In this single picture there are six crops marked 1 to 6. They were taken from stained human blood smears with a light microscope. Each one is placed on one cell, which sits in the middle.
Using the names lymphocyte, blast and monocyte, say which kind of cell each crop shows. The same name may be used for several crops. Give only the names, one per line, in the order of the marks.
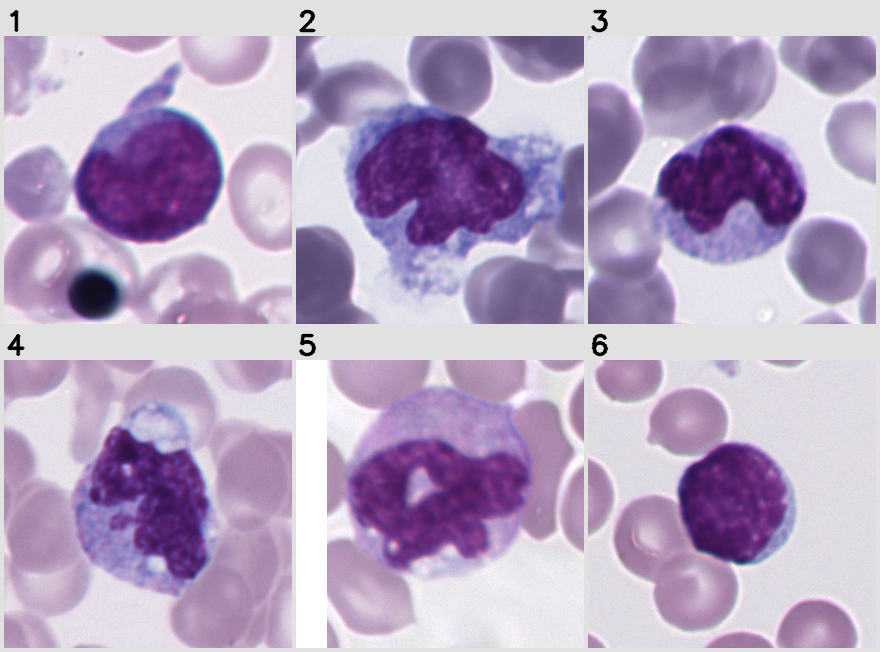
blast
monocyte
monocyte
monocyte
monocyte
lymphocyte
